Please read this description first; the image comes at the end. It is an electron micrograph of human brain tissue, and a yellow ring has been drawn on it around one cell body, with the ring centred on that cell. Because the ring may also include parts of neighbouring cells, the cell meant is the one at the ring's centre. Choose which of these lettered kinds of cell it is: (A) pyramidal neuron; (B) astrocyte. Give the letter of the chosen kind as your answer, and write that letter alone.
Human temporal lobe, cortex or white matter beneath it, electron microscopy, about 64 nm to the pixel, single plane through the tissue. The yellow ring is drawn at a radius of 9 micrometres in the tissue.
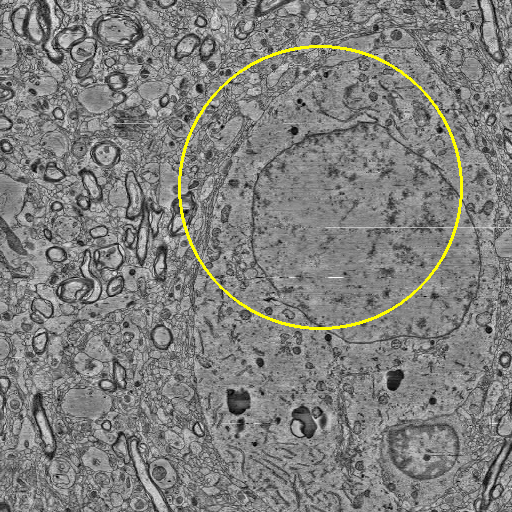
A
